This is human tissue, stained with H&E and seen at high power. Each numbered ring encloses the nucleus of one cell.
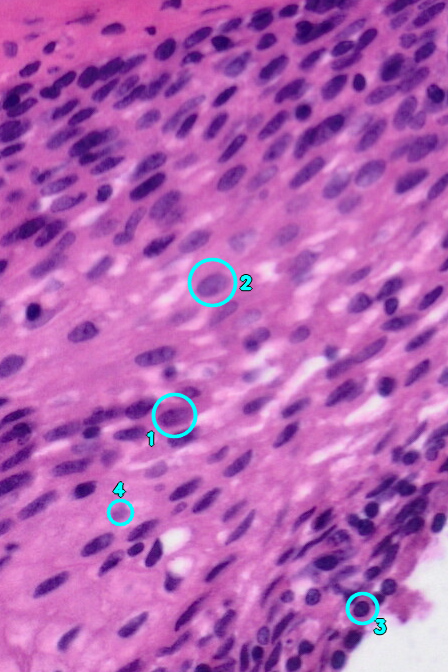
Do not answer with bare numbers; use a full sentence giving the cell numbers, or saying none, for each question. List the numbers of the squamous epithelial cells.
The cells that have been numbered 1, 2 and 4 are squamous epithelial cells.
